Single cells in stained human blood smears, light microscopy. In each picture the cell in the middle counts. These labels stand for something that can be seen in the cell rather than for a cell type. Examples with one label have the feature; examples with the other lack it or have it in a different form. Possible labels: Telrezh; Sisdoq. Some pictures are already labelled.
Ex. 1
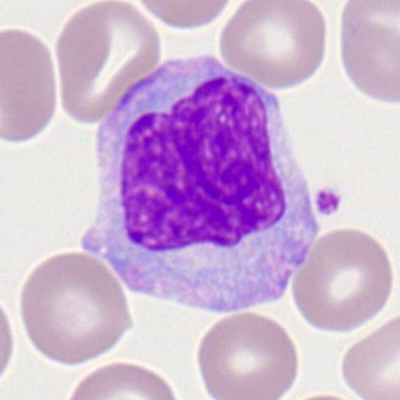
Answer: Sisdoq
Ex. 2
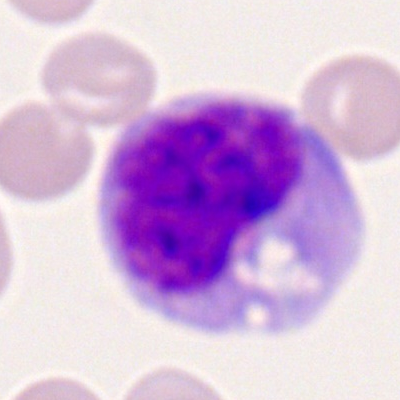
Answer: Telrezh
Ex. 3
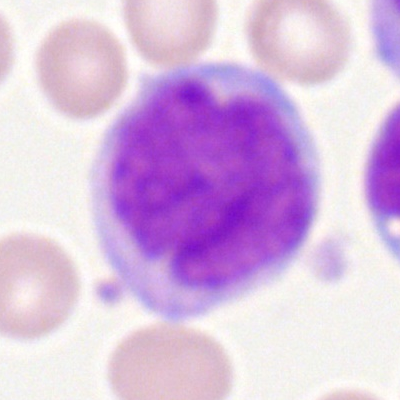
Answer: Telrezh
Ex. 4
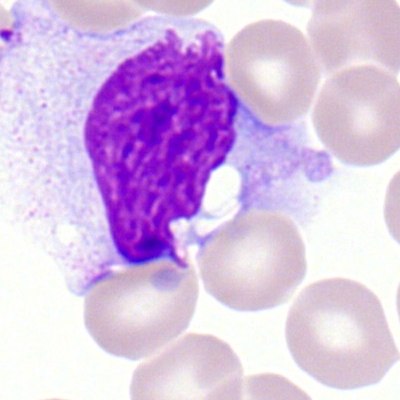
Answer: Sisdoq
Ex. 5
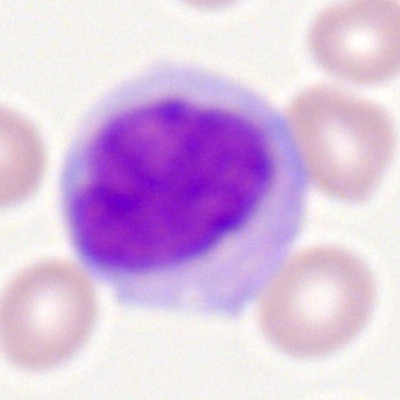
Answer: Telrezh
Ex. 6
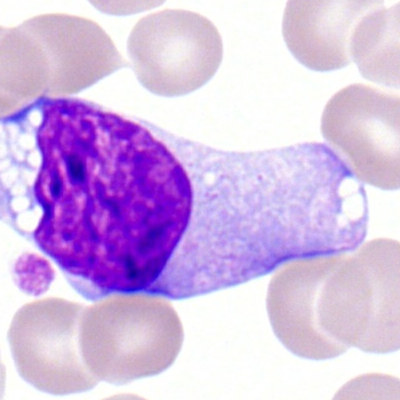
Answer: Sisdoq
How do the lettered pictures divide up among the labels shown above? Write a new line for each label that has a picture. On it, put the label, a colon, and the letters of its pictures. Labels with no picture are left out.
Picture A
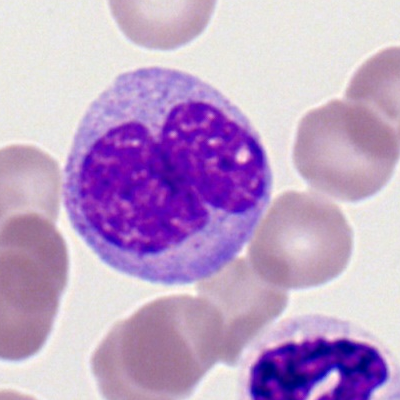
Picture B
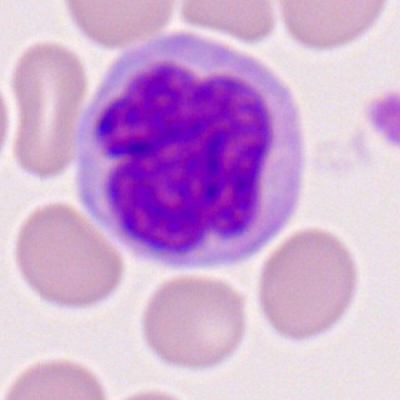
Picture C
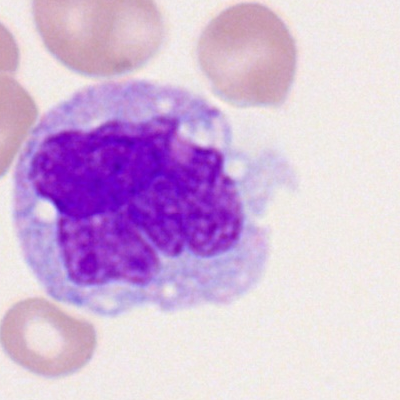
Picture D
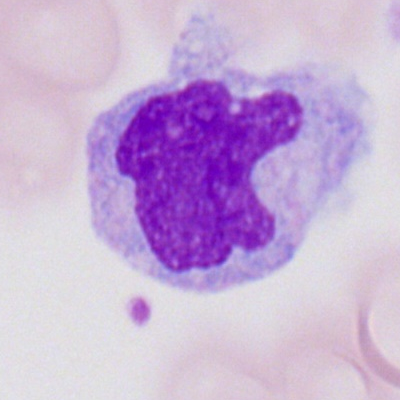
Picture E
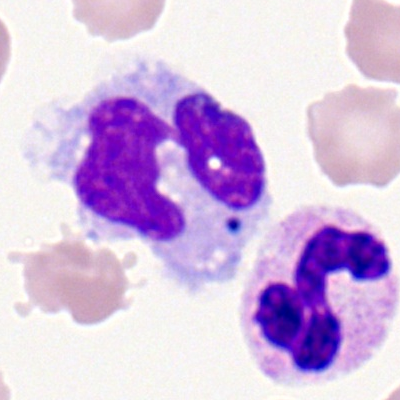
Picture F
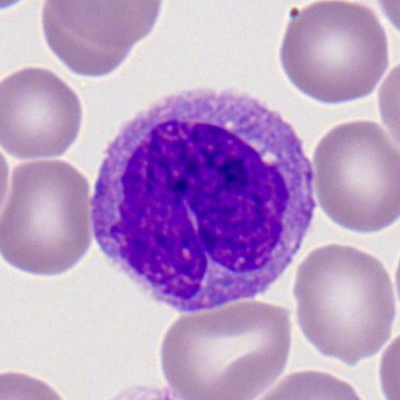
Telrezh: A, B, F
Sisdoq: C, D, E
